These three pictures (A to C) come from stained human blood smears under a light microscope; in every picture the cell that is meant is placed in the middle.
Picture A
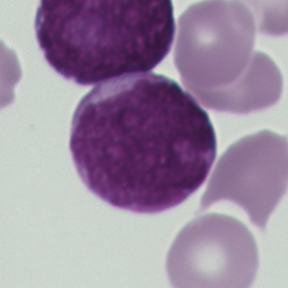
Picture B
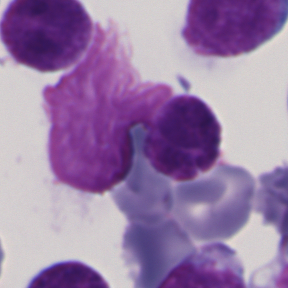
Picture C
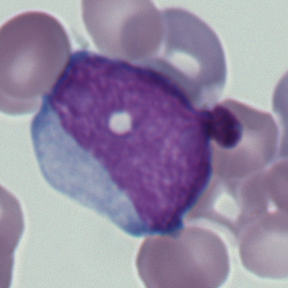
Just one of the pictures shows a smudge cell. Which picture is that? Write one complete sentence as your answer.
The picture with the smudge cell is B.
